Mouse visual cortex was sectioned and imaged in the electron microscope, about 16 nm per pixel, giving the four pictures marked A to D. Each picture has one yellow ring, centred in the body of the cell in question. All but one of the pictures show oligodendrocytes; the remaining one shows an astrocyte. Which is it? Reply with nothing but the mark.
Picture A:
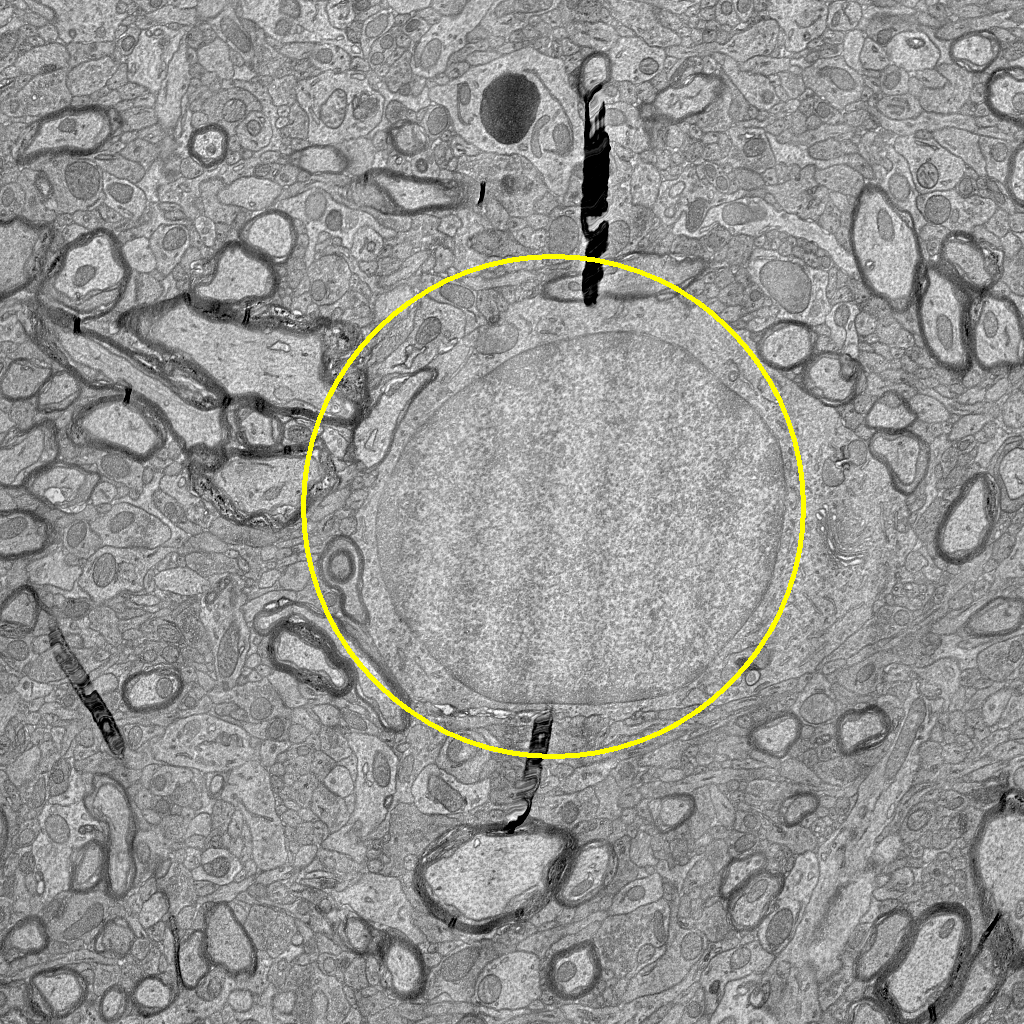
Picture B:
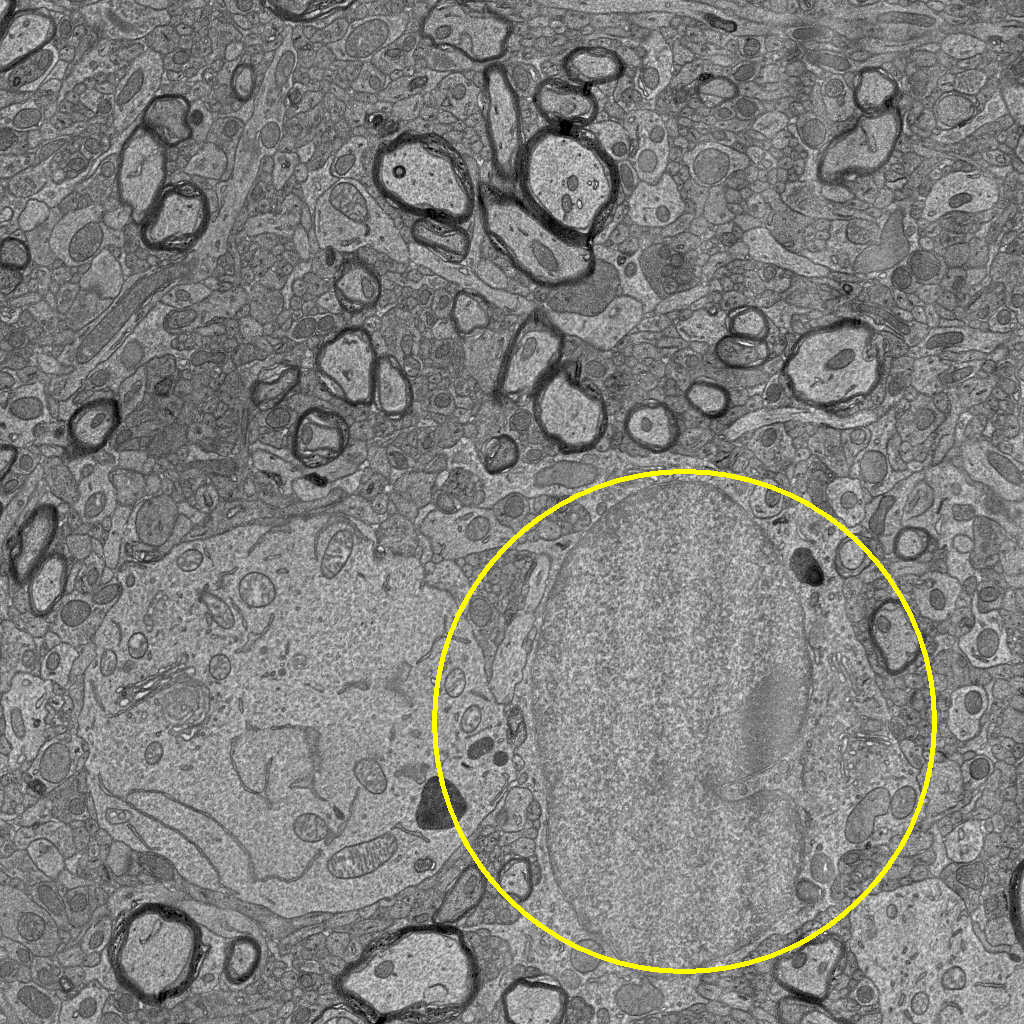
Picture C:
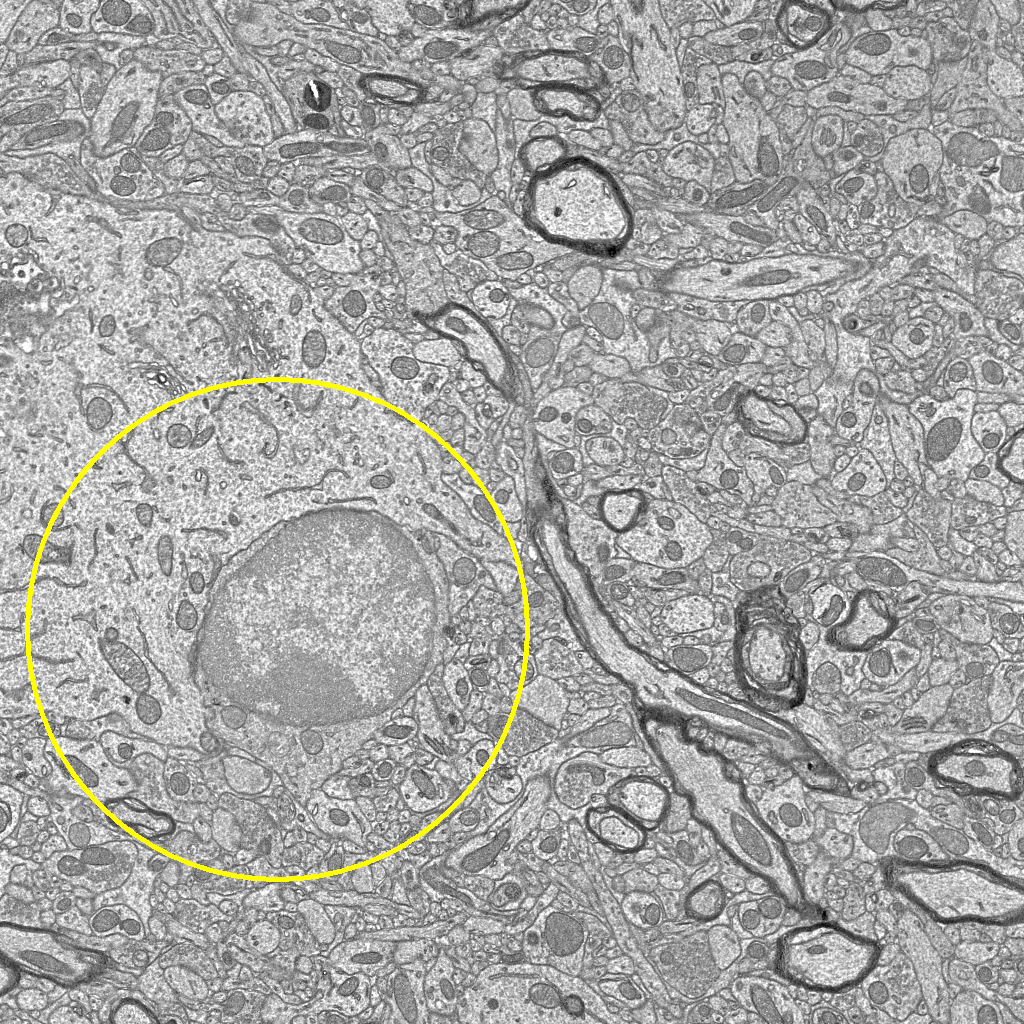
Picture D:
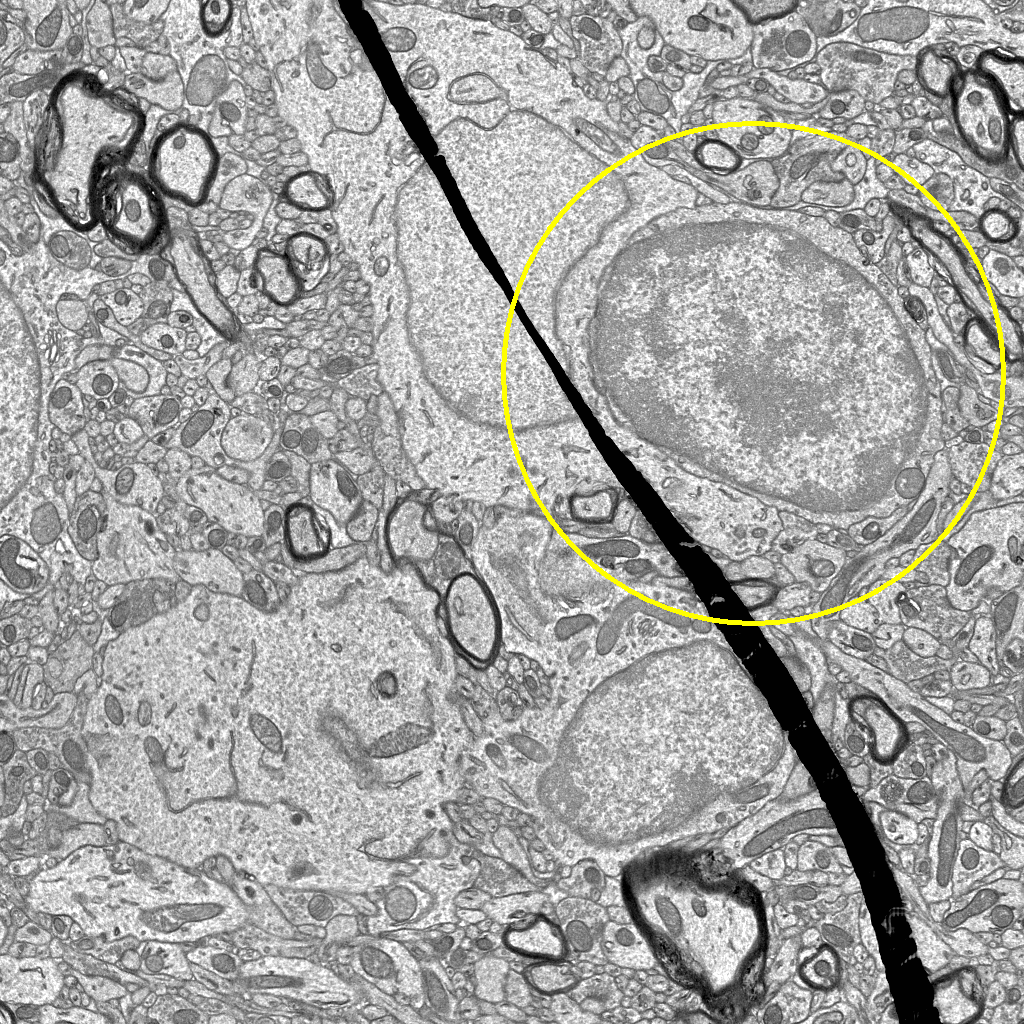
B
